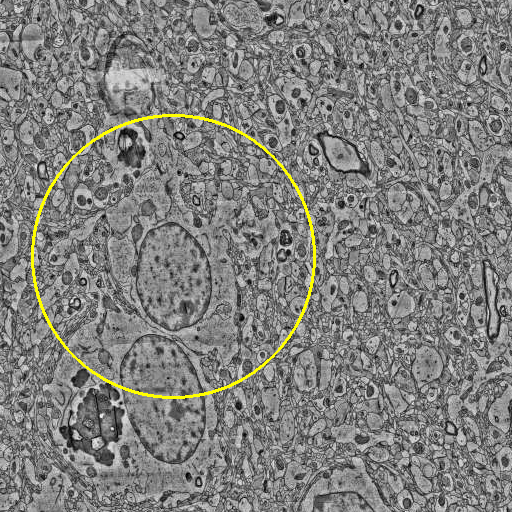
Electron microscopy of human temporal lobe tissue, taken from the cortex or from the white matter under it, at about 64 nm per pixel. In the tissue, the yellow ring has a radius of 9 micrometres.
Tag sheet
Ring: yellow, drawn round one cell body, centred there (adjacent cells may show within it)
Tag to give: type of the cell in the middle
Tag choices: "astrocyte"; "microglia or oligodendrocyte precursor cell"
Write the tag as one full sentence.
I tag the cell centred in the yellow ring as an astrocyte in this picture.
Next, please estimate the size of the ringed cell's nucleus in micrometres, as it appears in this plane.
In this plane, roughly 7 by 5 micrometres.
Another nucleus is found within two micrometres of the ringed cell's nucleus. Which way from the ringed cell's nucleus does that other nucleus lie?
The other nucleus is positioned below it.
